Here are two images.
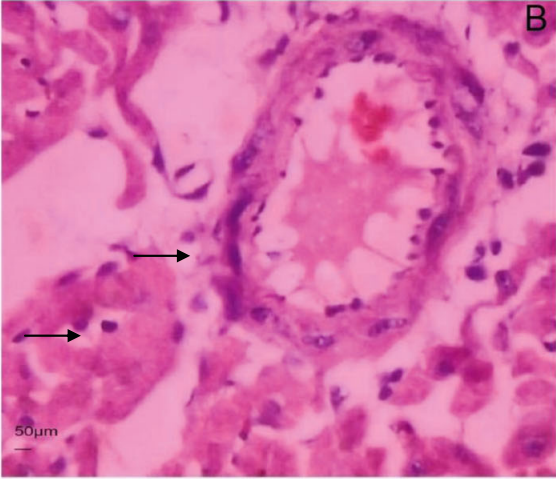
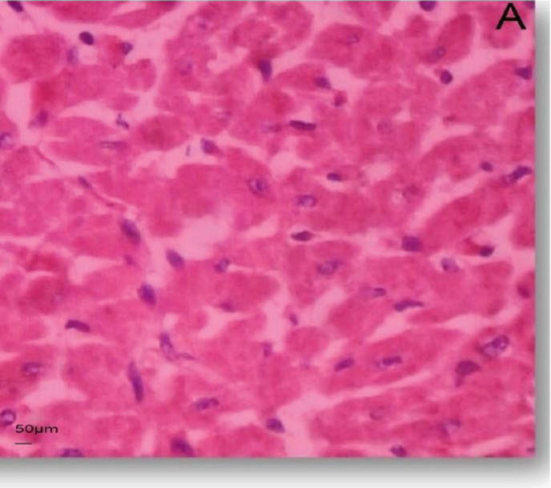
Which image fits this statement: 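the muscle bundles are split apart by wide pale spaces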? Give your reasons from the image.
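The first image. First image: broad pale gaps break the muscle tissue into separate fragments. Second image: muscle fibres lie close together with only narrow gaps.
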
